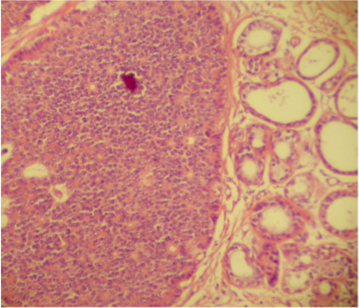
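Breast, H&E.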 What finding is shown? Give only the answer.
Large nest of tumor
